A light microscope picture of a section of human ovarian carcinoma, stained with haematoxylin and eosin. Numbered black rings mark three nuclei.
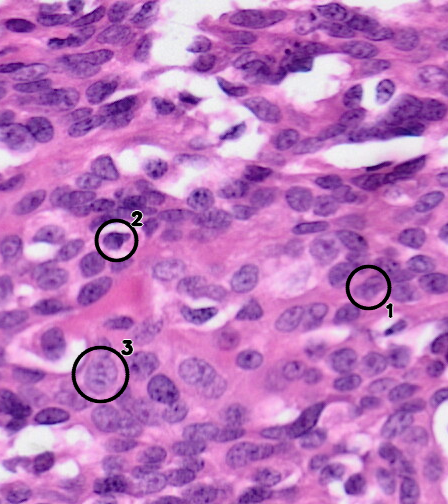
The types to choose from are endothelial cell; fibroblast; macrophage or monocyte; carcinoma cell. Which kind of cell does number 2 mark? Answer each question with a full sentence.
To a macrophage or monocyte belongs the nucleus marked 2.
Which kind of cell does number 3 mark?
Cell 3 is classified as a carcinoma cell.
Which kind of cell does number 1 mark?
The identity of cell 1 is that of a carcinoma cell.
